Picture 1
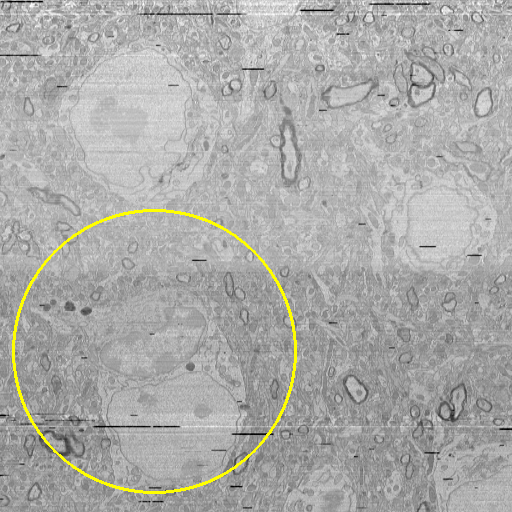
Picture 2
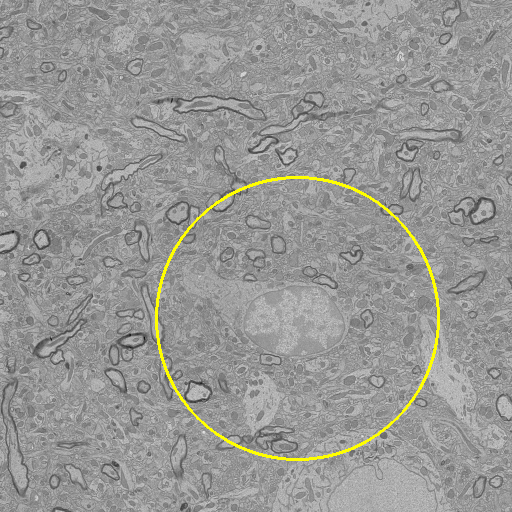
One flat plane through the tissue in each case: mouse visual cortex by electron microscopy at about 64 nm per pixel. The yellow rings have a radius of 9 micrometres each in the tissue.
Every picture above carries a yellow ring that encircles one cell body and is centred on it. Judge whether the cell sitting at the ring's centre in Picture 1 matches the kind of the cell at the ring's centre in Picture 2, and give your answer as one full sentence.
Yes, the cells centred in the rings of Pictures 1 and 2 belong to one kind.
